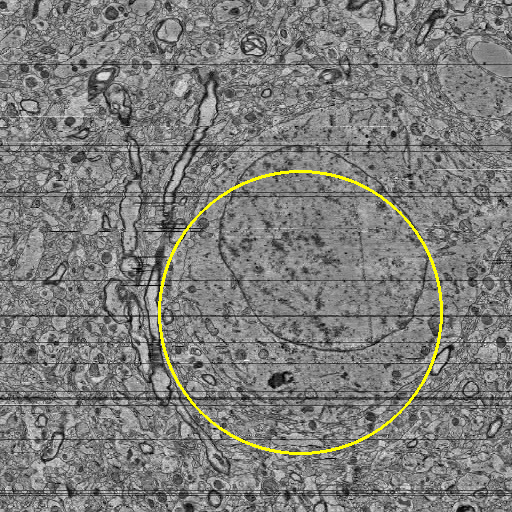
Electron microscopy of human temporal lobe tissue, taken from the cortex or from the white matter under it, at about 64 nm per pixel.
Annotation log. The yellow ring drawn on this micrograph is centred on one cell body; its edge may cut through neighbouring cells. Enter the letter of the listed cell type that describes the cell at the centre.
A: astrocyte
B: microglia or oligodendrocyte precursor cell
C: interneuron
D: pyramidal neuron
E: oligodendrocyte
D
